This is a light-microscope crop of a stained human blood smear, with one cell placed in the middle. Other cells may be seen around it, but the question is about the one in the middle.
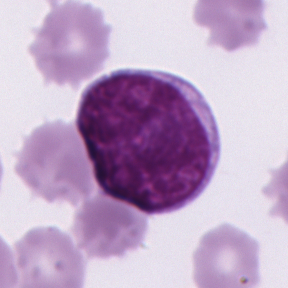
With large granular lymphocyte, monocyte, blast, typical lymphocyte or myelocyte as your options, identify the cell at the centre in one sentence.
The cell the crop is centered on is a blast.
